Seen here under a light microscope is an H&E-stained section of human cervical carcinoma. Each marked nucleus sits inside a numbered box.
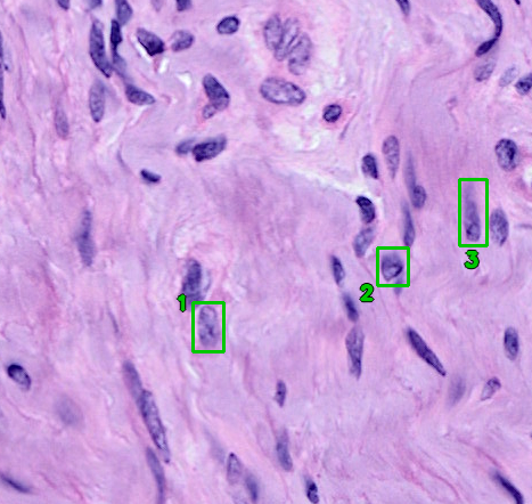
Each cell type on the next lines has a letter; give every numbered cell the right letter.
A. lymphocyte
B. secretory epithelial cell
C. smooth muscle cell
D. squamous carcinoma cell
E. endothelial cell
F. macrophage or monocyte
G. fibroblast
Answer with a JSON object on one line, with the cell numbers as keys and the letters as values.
{"1": "E", "2": "G", "3": "G"}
